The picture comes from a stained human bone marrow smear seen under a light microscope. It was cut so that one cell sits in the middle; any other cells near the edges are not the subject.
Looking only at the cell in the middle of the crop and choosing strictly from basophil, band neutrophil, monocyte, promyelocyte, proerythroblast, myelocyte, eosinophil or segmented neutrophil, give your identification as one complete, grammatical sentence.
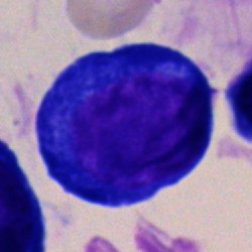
The cell at the middle of the frame should be recorded as a proerythroblast.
